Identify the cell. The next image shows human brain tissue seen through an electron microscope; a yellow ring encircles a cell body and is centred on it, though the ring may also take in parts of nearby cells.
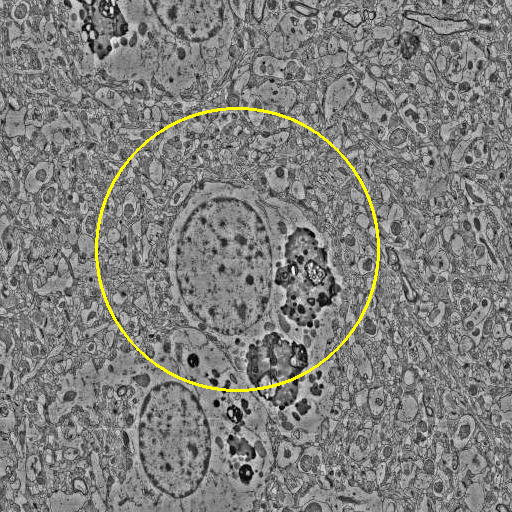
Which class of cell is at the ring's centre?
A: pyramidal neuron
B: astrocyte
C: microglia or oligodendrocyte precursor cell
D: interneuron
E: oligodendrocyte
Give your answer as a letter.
B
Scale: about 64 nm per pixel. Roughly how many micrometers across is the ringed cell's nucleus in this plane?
The nucleus measures about 9 by 6 micrometres in this plane.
